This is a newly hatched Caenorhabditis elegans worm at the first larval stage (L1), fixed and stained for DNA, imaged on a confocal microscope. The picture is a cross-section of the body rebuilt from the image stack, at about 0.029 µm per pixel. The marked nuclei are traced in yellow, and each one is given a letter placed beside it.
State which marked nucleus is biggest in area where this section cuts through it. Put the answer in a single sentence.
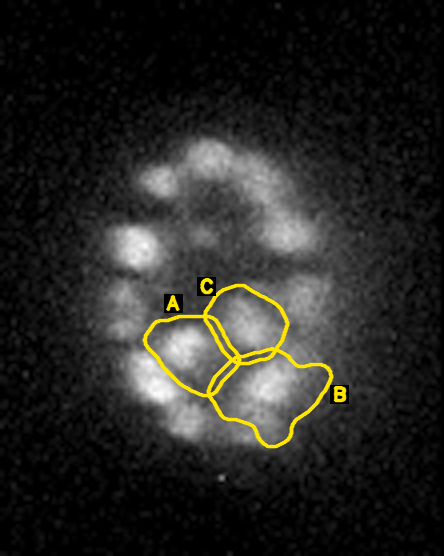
B is the one with the largest cut area.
